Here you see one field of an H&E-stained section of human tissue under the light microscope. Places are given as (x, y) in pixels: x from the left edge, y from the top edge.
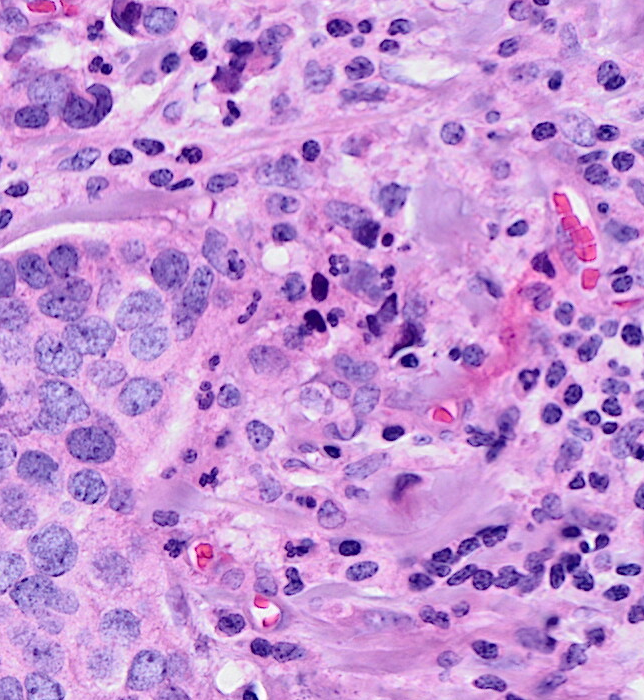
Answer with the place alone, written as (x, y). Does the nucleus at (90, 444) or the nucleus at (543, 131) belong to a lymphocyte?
(543, 131)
